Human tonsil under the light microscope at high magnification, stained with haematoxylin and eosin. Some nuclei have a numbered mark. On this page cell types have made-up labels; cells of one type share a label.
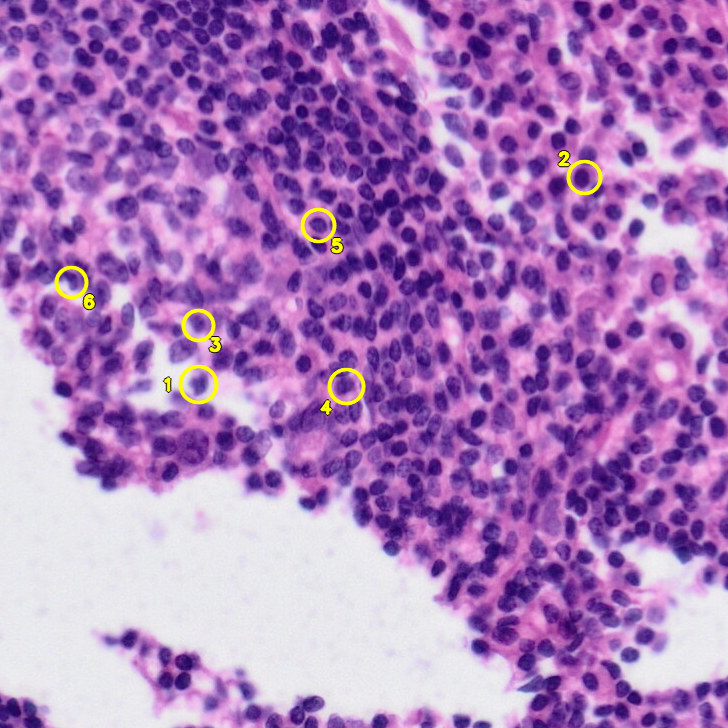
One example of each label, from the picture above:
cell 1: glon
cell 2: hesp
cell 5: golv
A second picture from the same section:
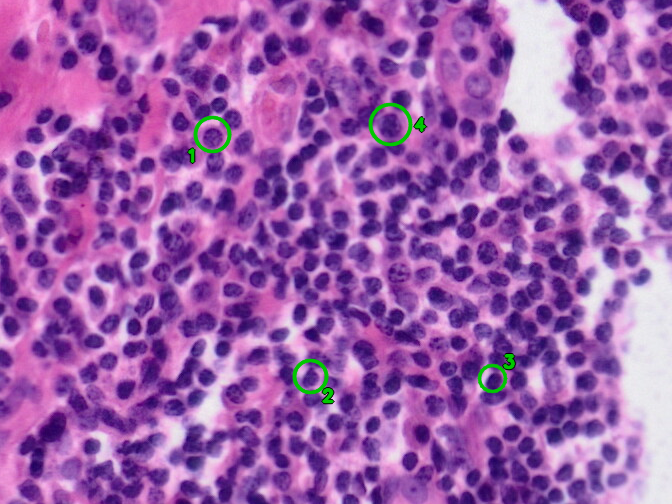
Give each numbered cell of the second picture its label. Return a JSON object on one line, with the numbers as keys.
{"1": "hesp", "2": "golv", "3": "golv", "4": "glon"}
